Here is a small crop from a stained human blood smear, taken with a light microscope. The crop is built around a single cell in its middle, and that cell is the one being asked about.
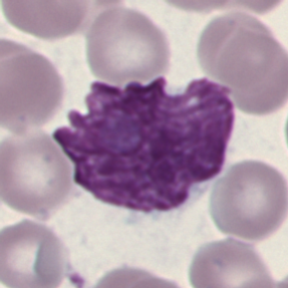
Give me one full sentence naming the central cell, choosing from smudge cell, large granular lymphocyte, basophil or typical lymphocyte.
The cell at the centre of the field is a smudge cell.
